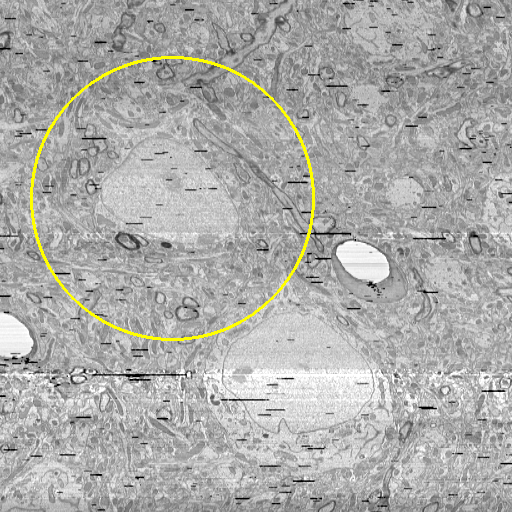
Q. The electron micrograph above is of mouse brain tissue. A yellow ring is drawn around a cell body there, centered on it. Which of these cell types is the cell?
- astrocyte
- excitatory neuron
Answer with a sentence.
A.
The cell under the ring's center is an astrocyte.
